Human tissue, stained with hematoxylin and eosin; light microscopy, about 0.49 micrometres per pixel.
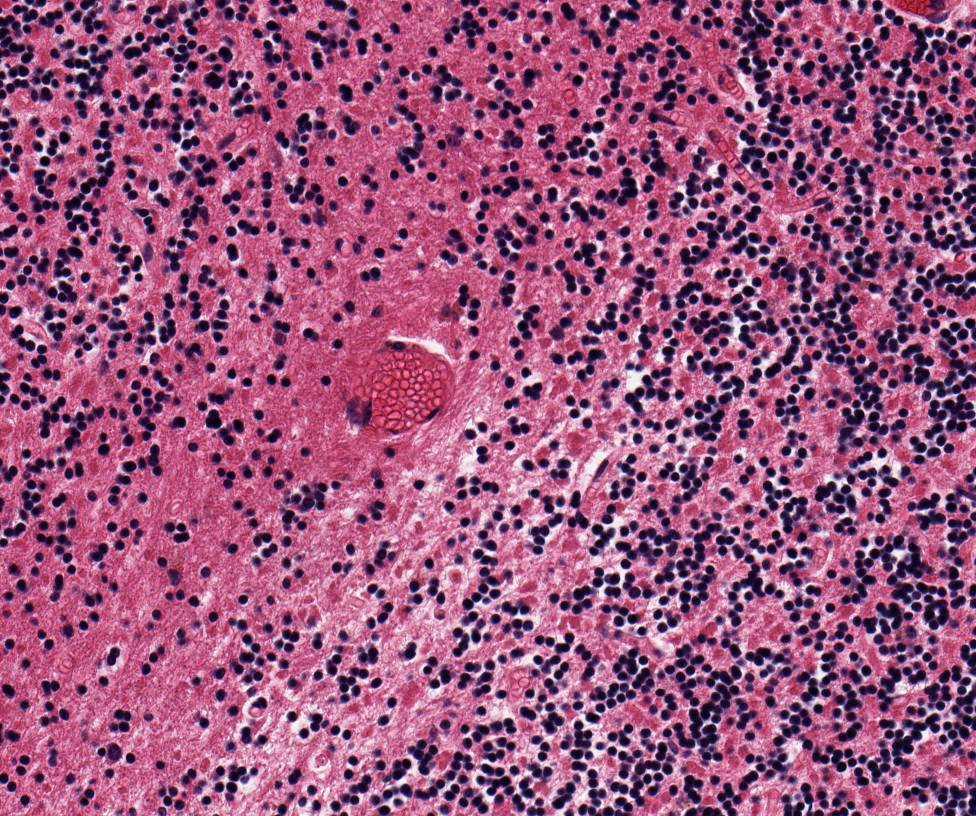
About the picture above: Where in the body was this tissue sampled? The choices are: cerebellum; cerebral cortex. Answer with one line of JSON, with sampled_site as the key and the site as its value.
{"sampled_site": "cerebellum"}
